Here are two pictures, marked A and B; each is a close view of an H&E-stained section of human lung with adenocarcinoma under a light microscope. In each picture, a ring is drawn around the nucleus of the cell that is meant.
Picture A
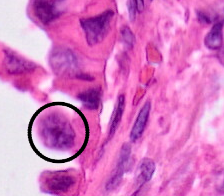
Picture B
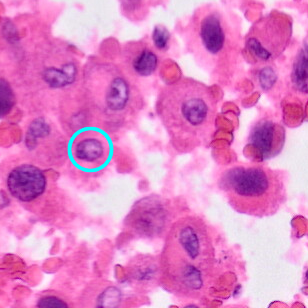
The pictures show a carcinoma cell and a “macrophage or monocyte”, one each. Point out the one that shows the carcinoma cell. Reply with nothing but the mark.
A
